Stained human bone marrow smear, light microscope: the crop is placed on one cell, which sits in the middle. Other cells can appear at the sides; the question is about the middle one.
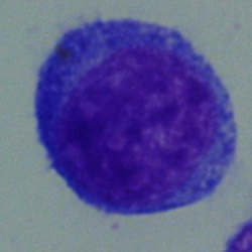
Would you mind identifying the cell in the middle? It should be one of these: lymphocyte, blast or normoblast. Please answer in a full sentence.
The cell at the heart of this crop is a blast.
